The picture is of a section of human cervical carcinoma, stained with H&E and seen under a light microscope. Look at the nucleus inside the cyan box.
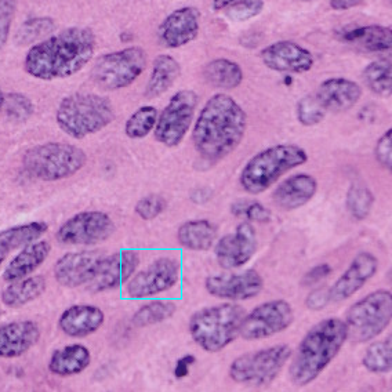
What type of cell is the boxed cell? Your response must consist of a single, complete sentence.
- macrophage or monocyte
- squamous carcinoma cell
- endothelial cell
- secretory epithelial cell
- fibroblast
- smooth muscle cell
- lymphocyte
With respect to cell type, the boxed cell is a squamous carcinoma cell.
